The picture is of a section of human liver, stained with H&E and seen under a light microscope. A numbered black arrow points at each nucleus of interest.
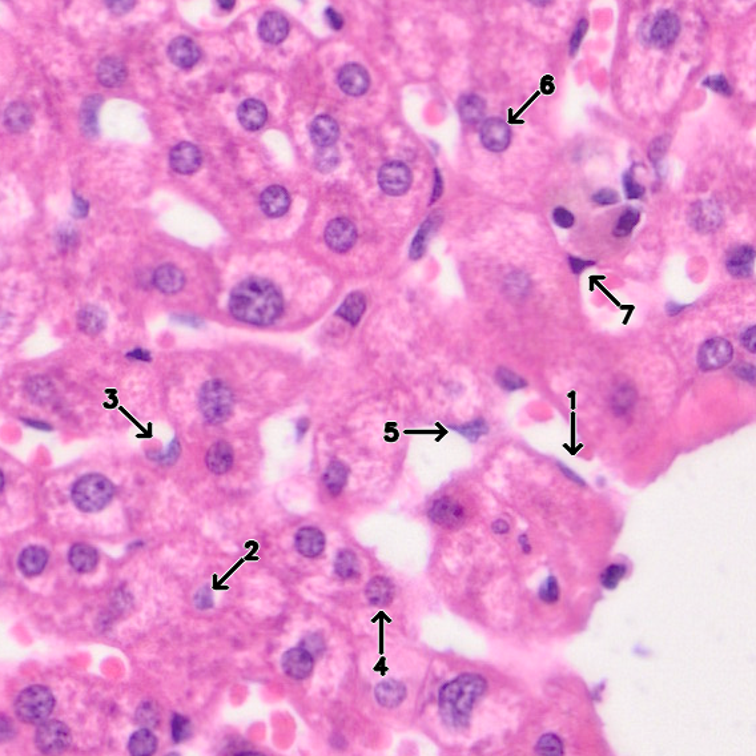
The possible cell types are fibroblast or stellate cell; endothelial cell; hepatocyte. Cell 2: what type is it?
endothelial cell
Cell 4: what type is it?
hepatocyte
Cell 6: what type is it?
hepatocyte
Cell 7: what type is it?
fibroblast or stellate cell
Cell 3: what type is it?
endothelial cell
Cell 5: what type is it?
fibroblast or stellate cell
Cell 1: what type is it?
endothelial cell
